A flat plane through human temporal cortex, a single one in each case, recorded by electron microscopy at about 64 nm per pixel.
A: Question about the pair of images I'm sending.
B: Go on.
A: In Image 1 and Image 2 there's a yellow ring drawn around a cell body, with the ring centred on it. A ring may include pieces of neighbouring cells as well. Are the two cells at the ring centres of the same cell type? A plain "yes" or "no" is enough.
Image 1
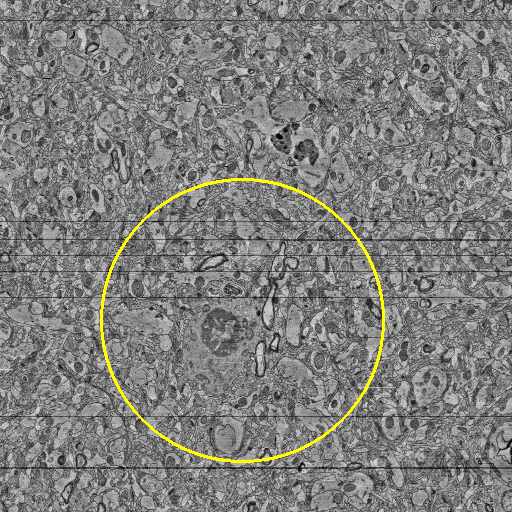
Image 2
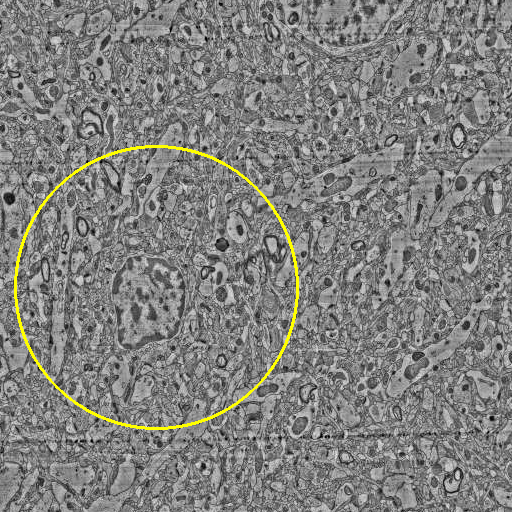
no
